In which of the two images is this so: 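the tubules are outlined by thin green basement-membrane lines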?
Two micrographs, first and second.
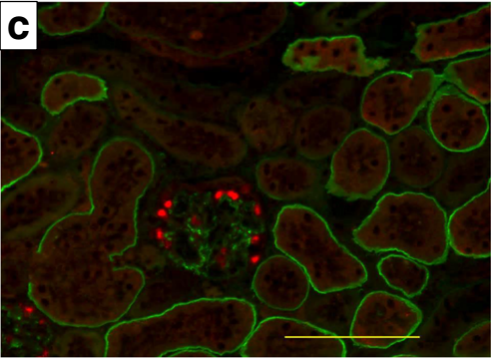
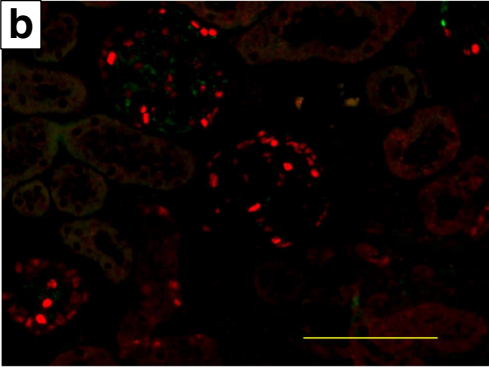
The first image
